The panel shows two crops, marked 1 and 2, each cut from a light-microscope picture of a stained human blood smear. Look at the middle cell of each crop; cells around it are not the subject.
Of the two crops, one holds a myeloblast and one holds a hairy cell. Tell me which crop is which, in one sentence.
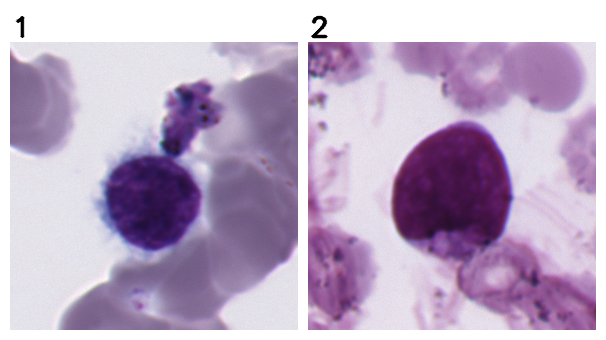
Within crop 1 sits a hairy cell, and within crop 2 sits a myeloblast.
